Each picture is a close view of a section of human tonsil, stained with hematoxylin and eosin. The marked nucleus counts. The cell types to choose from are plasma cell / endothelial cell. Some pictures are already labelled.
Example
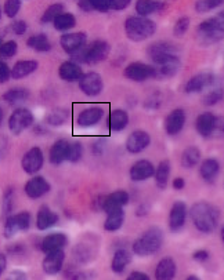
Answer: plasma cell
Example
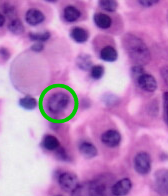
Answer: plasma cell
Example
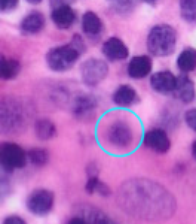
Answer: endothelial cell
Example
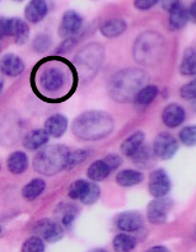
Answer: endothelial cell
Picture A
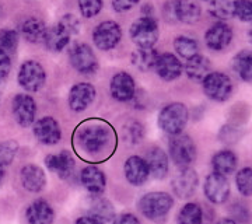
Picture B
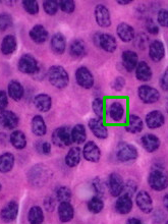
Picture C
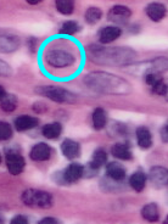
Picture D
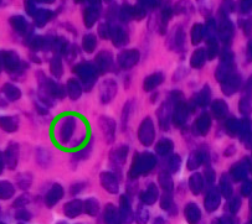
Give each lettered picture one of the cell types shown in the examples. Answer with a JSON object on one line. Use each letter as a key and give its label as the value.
{"A": "plasma cell", "B": "plasma cell", "C": "endothelial cell", "D": "endothelial cell"}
